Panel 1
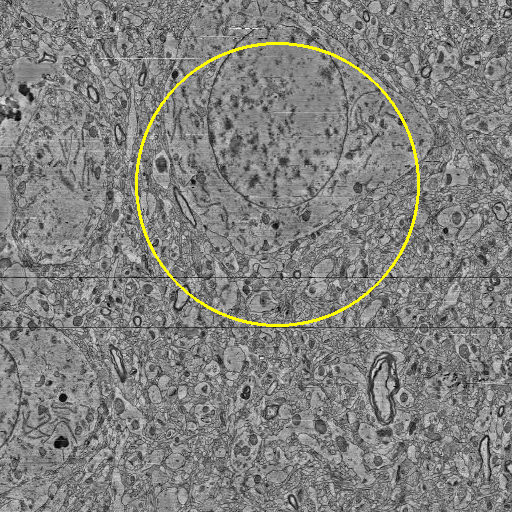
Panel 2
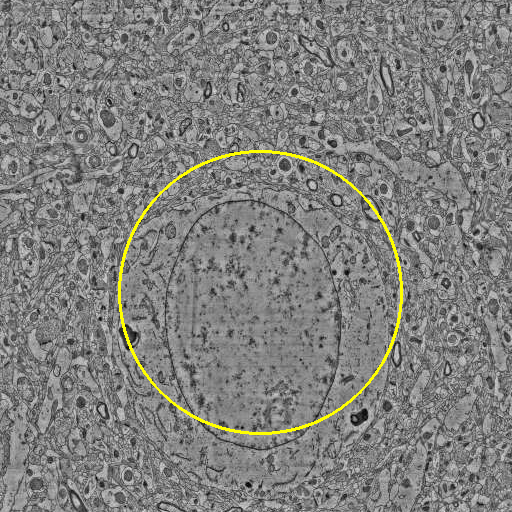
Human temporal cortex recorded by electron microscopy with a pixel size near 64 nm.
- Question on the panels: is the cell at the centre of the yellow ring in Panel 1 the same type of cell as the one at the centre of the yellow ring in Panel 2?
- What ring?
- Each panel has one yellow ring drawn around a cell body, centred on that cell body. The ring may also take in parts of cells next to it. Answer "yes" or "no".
yes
